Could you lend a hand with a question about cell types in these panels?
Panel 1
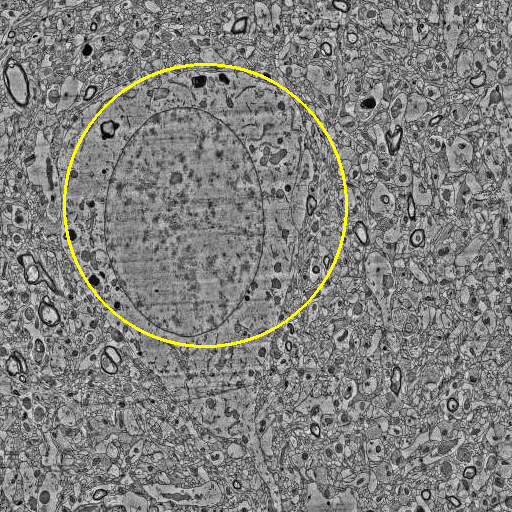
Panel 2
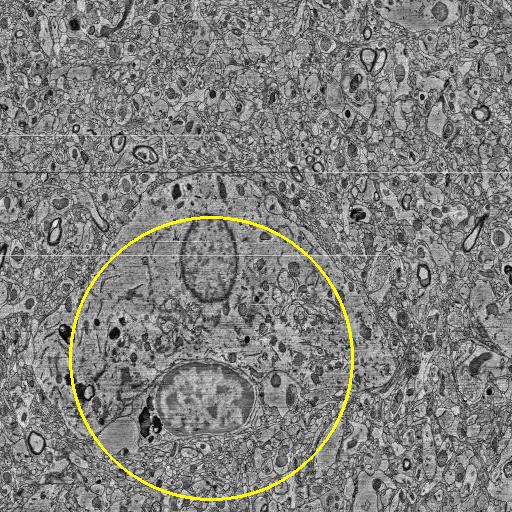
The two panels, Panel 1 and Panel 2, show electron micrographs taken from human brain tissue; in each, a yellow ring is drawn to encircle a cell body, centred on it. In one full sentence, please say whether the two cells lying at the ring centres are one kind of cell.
No, the cells at the ring centres in the two panels are two kinds of cell.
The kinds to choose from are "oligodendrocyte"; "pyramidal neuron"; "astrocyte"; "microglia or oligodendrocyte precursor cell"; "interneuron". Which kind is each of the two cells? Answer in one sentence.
Of the two, the first cell is a pyramidal neuron and the second cell is a microglial cell or oligodendrocyte precursor cell.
